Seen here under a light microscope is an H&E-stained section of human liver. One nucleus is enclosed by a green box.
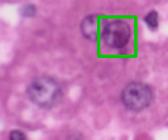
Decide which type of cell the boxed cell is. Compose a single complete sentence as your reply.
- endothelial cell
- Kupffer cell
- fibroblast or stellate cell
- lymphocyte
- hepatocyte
In this tissue section, the boxed cell is to be classed as a hepatocyte.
